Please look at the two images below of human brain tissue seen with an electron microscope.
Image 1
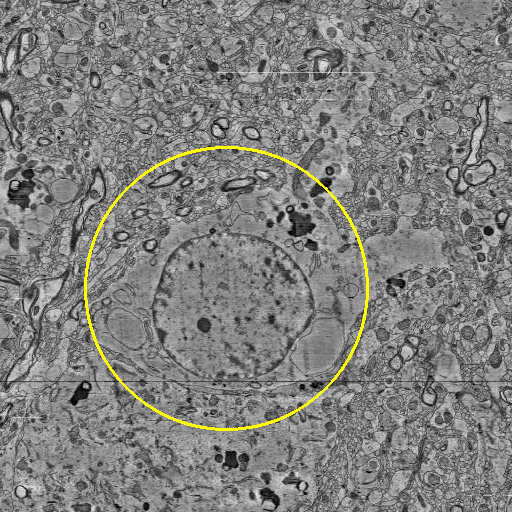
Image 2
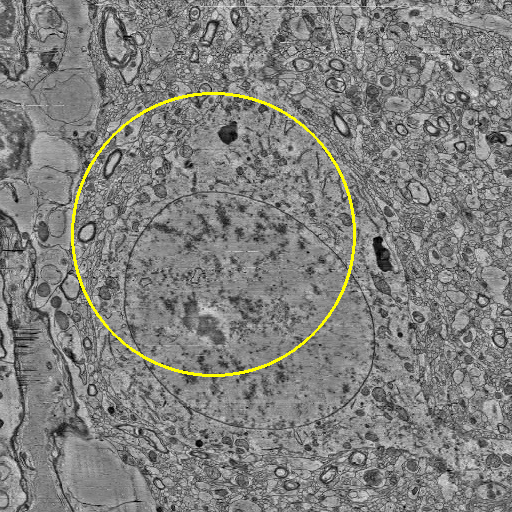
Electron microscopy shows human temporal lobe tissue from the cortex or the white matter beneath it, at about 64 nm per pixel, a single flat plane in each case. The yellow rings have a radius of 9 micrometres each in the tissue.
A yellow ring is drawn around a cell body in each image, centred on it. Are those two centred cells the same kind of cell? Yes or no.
no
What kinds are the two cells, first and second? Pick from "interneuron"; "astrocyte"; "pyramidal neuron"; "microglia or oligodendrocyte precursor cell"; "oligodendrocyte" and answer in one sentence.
The second picture holds a pyramidal neuron in its ring, and the first holds an astrocyte.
